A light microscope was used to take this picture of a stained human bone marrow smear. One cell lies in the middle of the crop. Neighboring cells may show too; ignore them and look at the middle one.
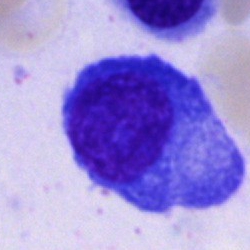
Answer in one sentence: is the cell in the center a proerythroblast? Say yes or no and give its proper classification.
No, the cell at the centre is a plasma cell, which rules out a proerythroblast.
